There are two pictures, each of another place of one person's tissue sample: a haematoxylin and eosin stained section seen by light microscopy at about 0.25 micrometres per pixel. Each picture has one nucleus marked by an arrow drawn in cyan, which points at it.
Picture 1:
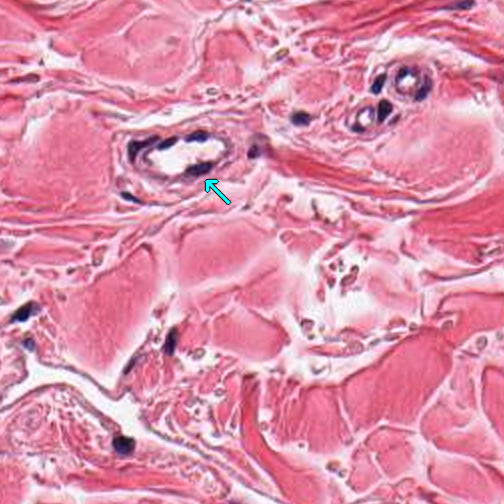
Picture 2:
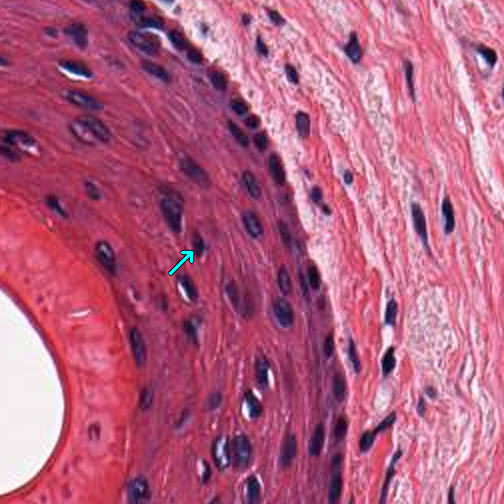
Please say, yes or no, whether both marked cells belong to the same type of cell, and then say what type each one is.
No, the first is an endothelial cell and the second a keratinocyte.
